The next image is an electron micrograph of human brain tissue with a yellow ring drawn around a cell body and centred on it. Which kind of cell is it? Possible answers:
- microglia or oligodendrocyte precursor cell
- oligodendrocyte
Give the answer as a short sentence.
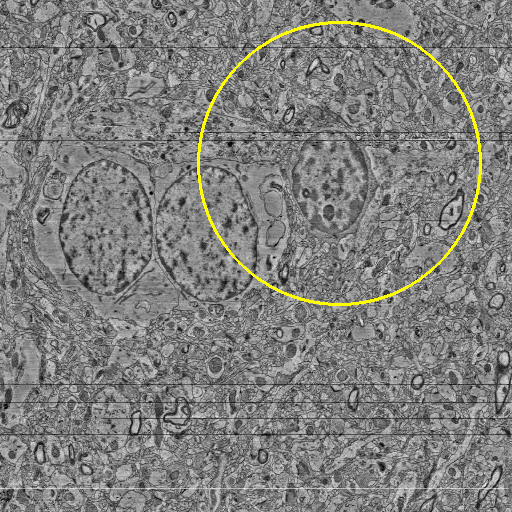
In the ring's centre is an oligodendrocyte.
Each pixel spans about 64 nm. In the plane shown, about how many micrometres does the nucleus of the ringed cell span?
Approximately 7 micrometres long and 5 micrometres wide, in this plane.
